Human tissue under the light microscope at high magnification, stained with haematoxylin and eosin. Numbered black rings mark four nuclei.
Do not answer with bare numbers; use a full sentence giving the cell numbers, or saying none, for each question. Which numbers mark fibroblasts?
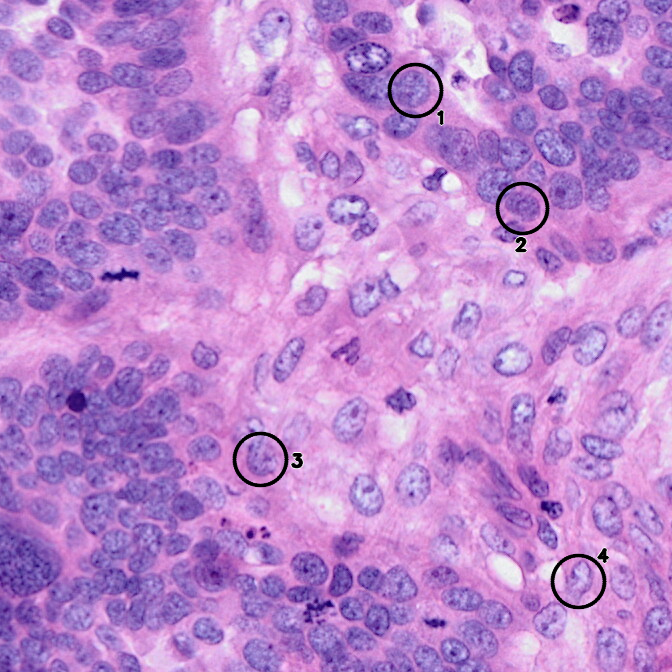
The identity of cells 3 and 4: they are fibroblasts.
